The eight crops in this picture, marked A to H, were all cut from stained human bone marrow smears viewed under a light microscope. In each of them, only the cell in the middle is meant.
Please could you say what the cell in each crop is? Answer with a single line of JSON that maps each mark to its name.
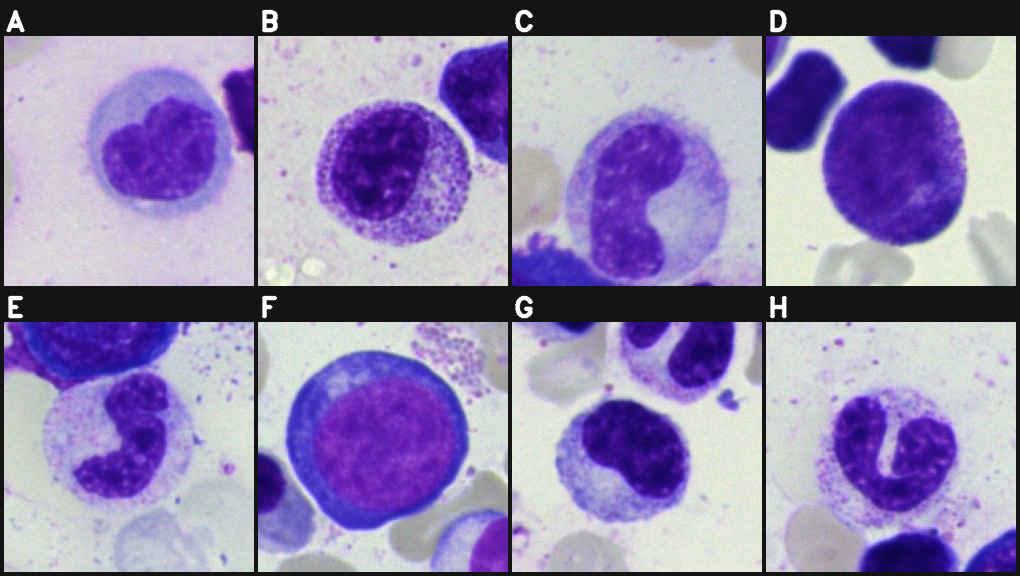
{"A": "monocyte", "B": "myelocyte", "C": "band neutrophil", "D": "promyelocyte", "E": "band neutrophil", "F": "proerythroblast", "G": "metamyelocyte", "H": "segmented neutrophil"}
